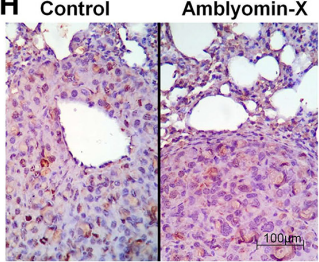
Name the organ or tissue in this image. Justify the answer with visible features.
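Solid cluster of large crowded cells. Thin-walled air spaces at the edge of the cell mass.
Answer: lung metastases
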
